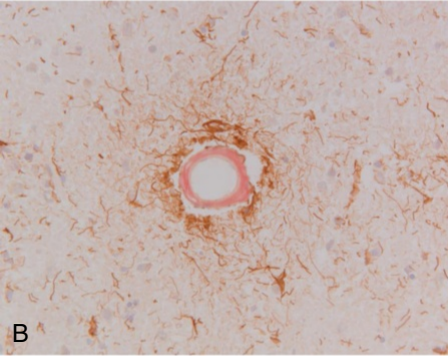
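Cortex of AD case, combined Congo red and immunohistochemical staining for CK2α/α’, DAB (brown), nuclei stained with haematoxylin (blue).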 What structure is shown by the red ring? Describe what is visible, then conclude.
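A round structure with a clear lumen is outlined by a thick red-pink wall. Brown branching processes surround the red ring.
Hence: blood vessel.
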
